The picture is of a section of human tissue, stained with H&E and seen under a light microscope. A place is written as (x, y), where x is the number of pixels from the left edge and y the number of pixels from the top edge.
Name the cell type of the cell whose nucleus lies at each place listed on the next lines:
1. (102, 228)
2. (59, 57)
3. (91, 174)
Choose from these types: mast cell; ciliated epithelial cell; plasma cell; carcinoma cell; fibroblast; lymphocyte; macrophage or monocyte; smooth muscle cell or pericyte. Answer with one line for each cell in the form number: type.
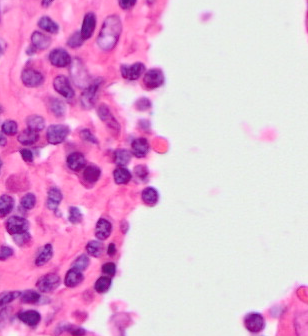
1: lymphocyte
2: lymphocyte
3: plasma cell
